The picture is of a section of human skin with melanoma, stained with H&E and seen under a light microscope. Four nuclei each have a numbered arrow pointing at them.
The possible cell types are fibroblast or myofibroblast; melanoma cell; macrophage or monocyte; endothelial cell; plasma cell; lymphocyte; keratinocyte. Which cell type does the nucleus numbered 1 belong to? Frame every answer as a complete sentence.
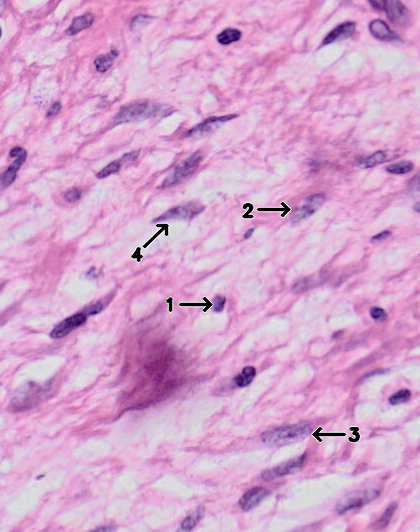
Marked with the number 1, this cell is a lymphocyte.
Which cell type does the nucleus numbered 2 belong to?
What the number 2 marks in this field is a fibroblast or myofibroblast.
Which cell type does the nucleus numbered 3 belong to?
Heads up, the cell numbered 3 is a fibroblast or myofibroblast.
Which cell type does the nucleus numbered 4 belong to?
In this section, the cell tagged 4 is a fibroblast or myofibroblast.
